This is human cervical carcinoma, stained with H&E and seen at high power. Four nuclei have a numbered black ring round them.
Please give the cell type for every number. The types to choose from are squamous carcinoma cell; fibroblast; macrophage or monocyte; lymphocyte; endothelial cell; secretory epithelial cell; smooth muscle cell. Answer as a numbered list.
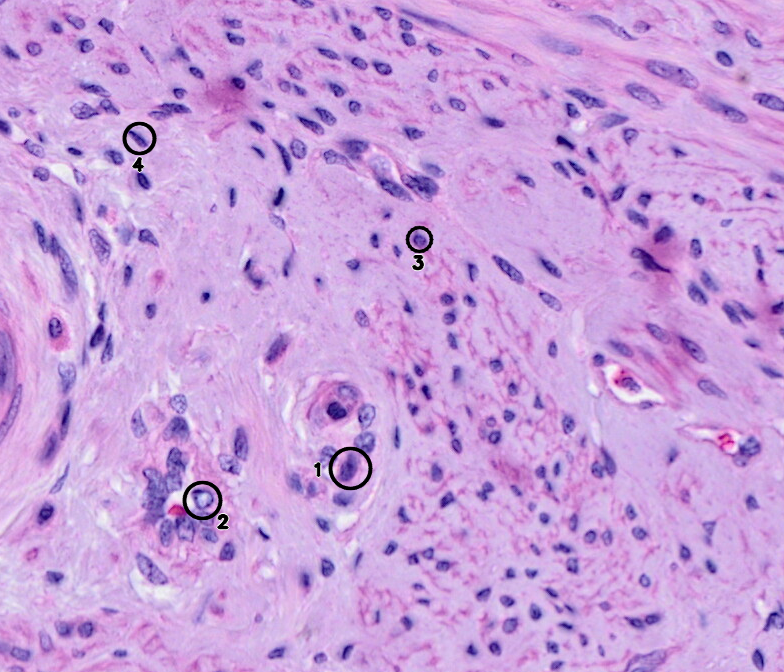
1. endothelial cell
2. endothelial cell
3. smooth muscle cell
4. fibroblast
